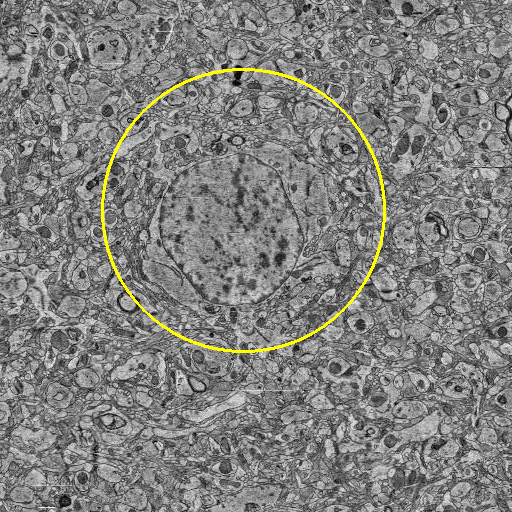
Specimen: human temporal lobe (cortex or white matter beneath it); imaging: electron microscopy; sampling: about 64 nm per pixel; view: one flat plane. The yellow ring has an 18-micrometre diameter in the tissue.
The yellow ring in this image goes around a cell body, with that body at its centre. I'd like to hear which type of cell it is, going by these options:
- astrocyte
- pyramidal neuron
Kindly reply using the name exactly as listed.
astrocyte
